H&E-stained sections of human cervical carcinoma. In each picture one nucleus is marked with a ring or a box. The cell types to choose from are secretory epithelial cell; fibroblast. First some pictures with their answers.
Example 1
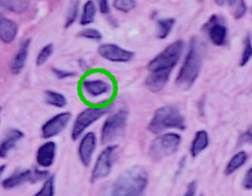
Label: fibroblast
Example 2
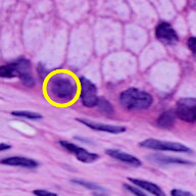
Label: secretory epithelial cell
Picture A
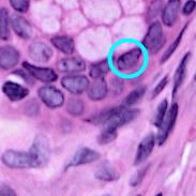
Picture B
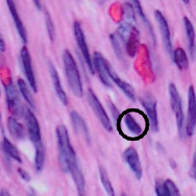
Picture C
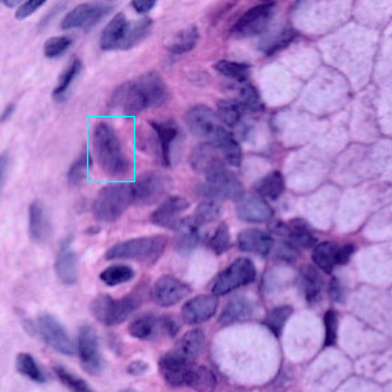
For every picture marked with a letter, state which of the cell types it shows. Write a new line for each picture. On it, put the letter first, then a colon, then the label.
A: secretory epithelial cell
B: fibroblast
C: secretory epithelial cell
